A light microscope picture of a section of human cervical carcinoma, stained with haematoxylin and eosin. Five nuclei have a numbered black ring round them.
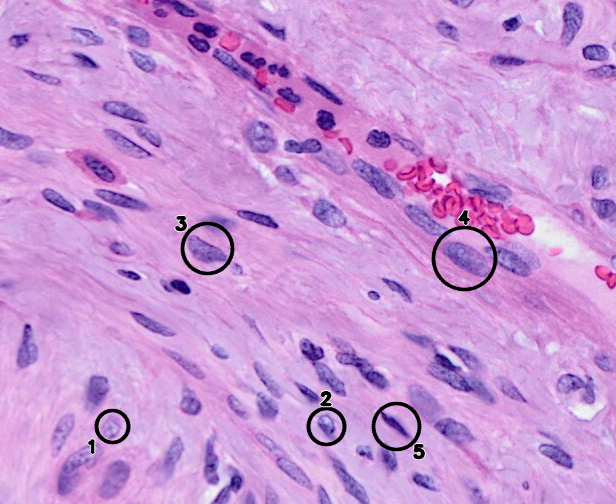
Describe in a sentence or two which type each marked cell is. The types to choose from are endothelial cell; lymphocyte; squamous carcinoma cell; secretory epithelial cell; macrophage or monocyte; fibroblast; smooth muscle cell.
Cell 1 is a smooth muscle cell. Cells 2, 3 and 5 are fibroblasts. Cell 4 is an endothelial cell.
